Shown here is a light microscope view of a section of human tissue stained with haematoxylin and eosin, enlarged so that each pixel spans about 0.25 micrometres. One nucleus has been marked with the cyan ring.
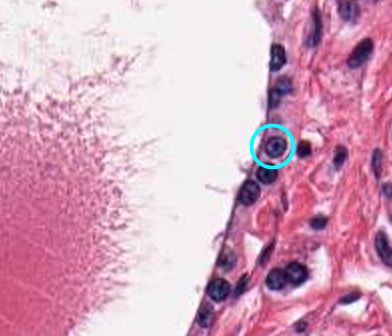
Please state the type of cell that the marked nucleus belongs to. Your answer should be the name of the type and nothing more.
thyroid follicular cell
